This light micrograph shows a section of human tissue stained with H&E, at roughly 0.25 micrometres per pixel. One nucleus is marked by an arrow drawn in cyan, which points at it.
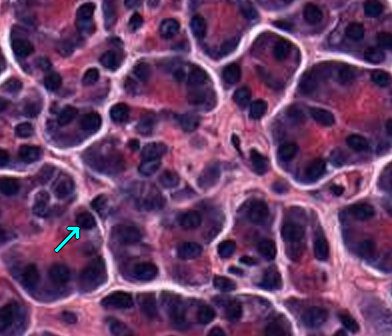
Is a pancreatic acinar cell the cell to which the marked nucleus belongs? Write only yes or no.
yes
